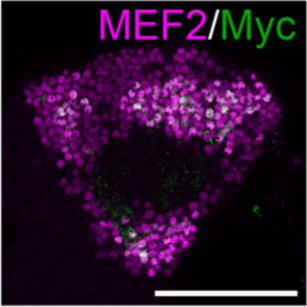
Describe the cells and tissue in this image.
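This optical section passes through the calyx and the Kenyon cell layer of the mushroom body. Many small round magenta nuclei form a thick band that encloses a darker central neuropil region. Green overlaps the nuclei most strongly in the upper part of the band, where they appear white. Only faint green is seen within the central neuropil.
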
